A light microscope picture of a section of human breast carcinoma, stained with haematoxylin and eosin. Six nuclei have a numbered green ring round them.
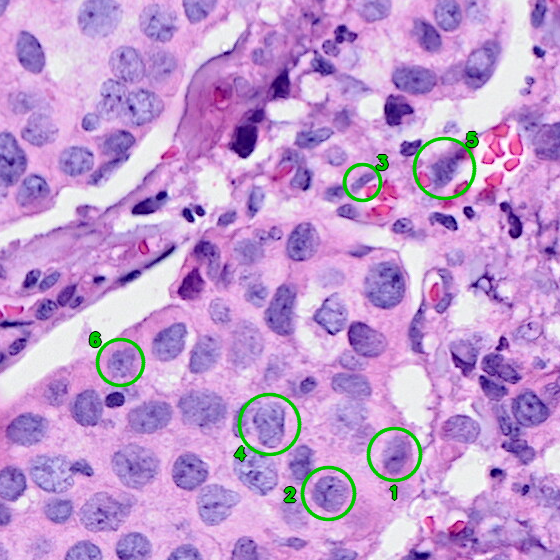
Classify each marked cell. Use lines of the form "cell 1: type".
cell 1: carcinoma cell
cell 2: carcinoma cell
cell 3: endothelial cell
cell 4: carcinoma cell
cell 5: endothelial cell
cell 6: carcinoma cell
